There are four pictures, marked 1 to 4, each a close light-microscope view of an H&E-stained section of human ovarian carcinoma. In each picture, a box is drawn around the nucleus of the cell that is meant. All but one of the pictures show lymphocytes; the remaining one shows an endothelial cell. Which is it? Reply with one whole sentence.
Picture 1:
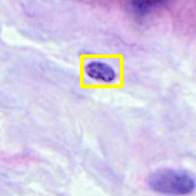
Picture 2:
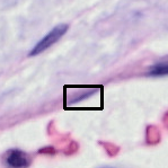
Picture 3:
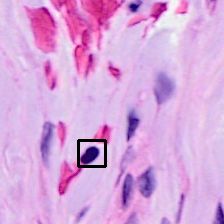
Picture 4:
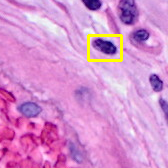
Picture 2 is the one that shows the endothelial cell.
